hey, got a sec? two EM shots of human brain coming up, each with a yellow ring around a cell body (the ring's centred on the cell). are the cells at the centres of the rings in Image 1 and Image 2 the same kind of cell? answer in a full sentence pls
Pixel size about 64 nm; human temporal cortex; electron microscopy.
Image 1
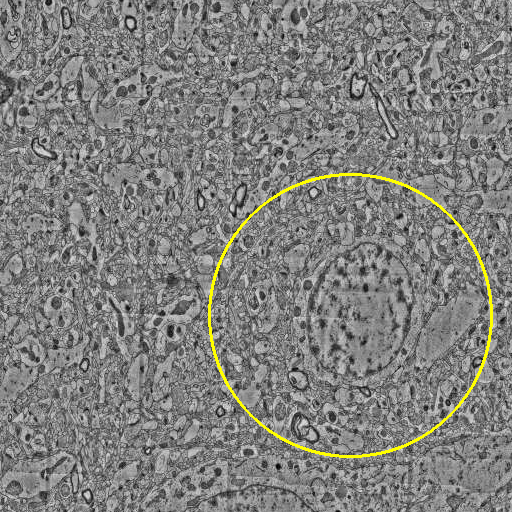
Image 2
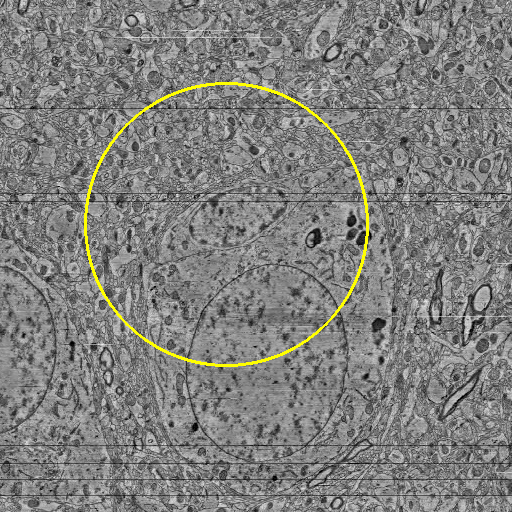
No, they are two kinds of cell.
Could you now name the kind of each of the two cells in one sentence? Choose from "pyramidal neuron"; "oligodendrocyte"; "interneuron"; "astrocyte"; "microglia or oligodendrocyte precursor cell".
The first ring encloses an interneuron; the second ring encloses a microglial cell or oligodendrocyte precursor cell.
